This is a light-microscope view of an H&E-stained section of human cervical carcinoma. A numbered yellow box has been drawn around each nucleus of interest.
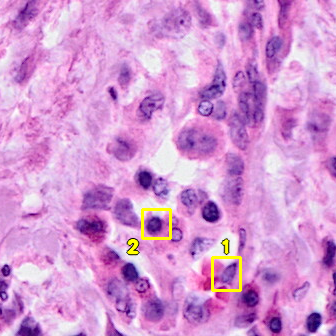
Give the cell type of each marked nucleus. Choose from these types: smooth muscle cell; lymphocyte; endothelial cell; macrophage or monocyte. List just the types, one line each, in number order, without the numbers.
endothelial cell
lymphocyte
